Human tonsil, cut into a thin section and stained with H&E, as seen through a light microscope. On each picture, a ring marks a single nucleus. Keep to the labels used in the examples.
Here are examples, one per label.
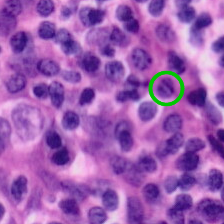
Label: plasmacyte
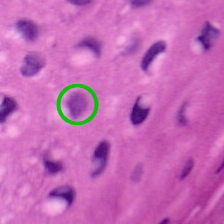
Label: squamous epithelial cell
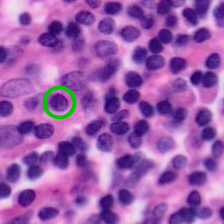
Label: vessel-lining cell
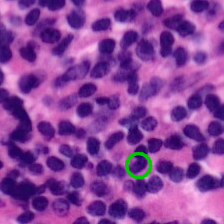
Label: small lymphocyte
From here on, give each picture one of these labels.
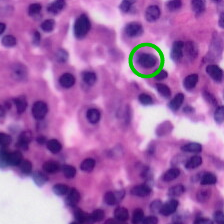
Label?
plasmacyte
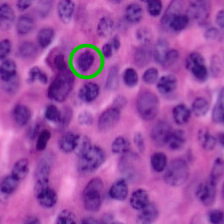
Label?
plasmacyte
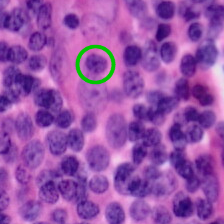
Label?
vessel-lining cell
